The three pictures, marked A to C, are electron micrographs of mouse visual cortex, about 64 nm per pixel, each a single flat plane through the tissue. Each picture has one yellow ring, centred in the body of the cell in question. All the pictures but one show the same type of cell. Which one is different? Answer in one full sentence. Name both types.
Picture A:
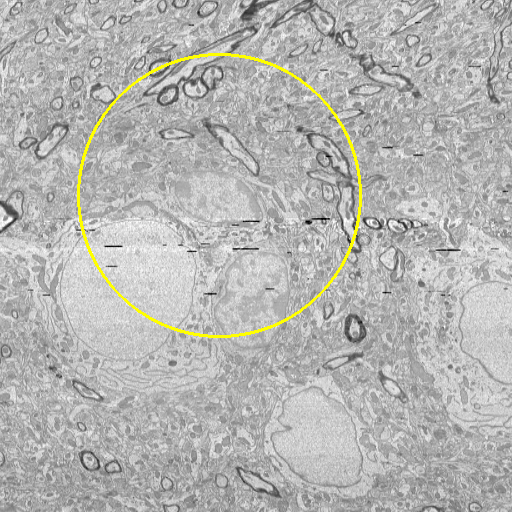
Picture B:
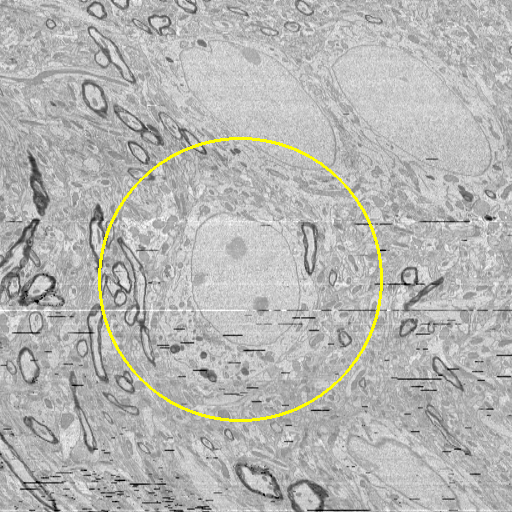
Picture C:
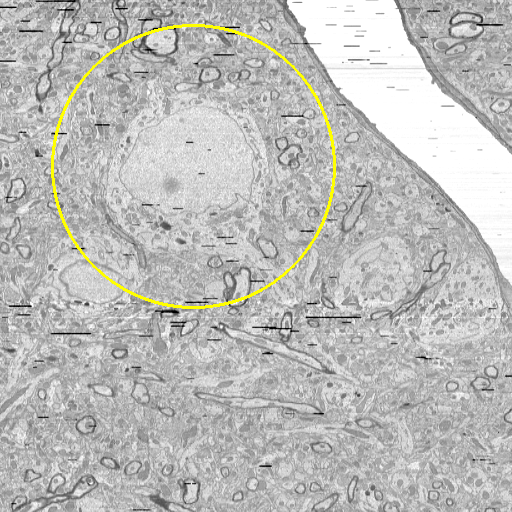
The different one is picture A; it shows an oligodendrocyte, whereas all the others show excitatory neurons.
